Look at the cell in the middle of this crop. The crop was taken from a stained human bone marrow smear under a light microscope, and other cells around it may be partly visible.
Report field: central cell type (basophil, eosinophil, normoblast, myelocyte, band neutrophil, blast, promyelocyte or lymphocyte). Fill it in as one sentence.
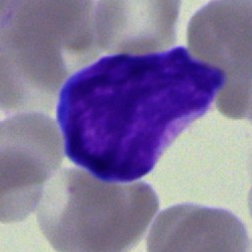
This crop is built around a blast at its centre.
